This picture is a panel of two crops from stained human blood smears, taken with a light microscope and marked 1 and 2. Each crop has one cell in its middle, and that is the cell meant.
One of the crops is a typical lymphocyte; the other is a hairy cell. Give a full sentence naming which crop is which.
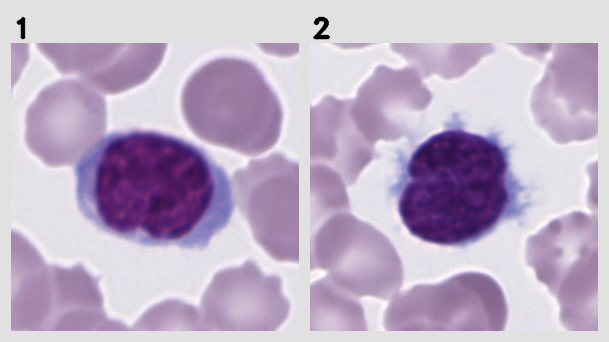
Respectively, crops 1 and 2 show a typical lymphocyte and a hairy cell.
